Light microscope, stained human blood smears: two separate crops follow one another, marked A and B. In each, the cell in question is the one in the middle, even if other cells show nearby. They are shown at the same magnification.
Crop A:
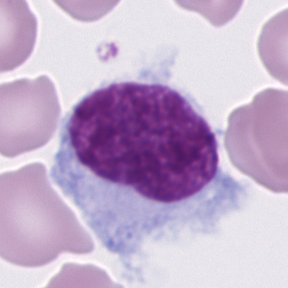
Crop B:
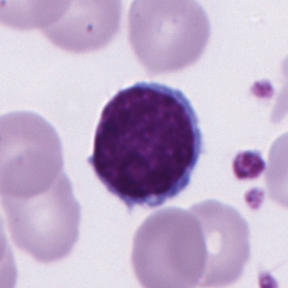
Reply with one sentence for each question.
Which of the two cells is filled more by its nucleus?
It is the cell in crop B that is filled more by its nucleus.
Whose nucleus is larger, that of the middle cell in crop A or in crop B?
The nucleus in crop A is larger, with about 1.5 times the area of the one in crop B.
